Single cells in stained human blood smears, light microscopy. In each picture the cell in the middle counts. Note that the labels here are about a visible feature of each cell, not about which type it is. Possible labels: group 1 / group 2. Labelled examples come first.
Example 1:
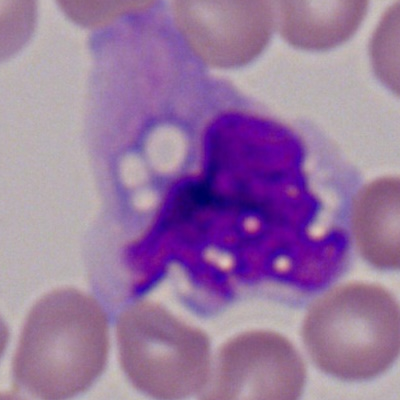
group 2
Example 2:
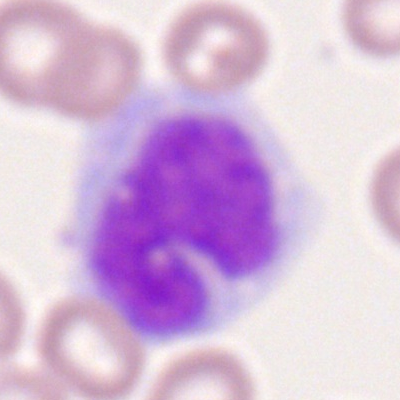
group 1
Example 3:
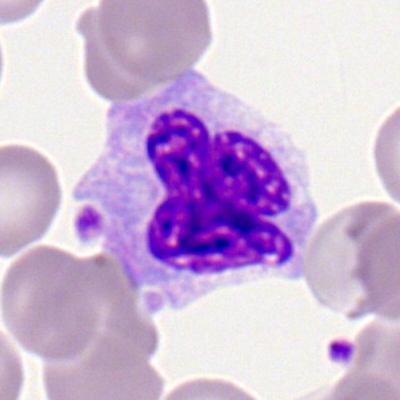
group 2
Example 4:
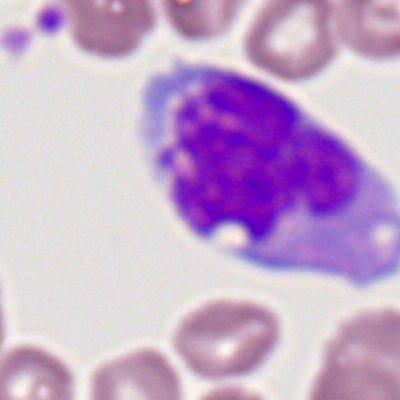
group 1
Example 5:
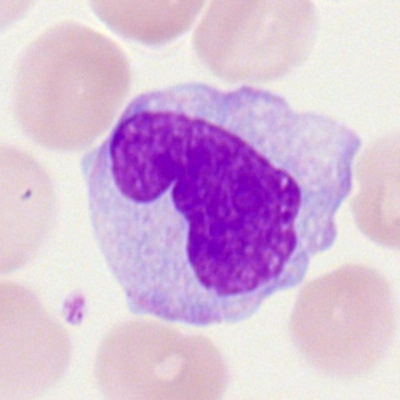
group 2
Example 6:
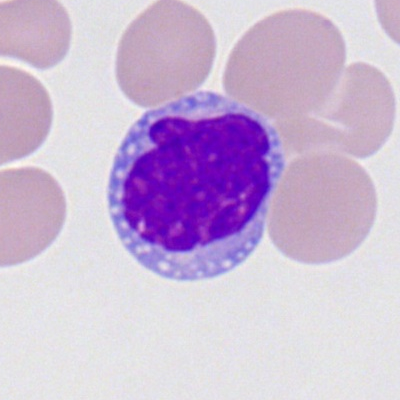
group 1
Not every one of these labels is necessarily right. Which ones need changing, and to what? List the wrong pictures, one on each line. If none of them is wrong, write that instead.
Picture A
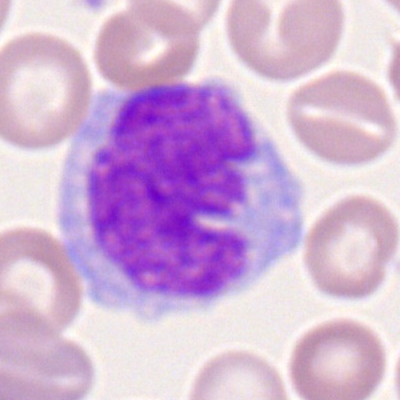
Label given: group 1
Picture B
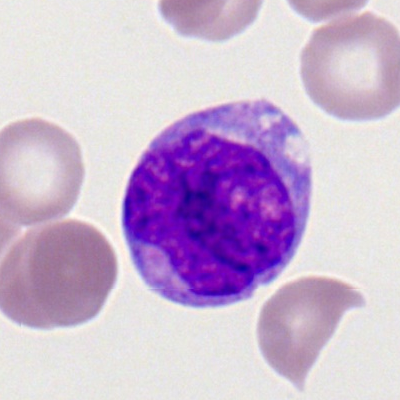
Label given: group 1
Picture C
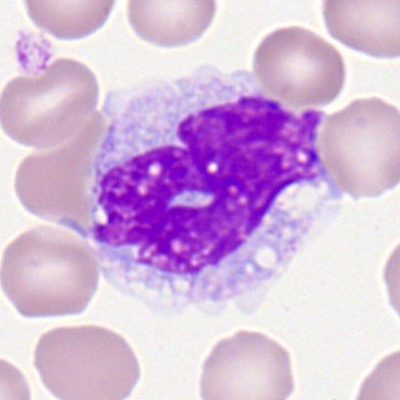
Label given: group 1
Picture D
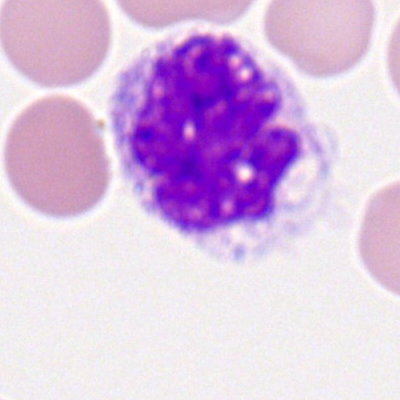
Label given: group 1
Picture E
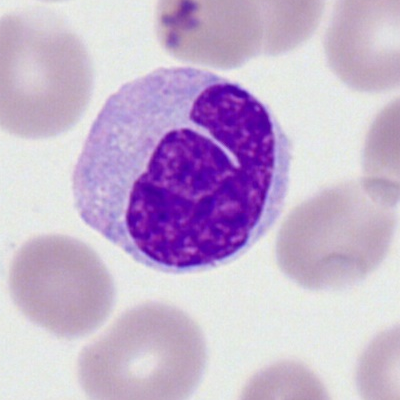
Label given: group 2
C: group 2, not group 1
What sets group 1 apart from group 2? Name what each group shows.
group 1, scant cytoplasm; group 2, abundant cytoplasm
